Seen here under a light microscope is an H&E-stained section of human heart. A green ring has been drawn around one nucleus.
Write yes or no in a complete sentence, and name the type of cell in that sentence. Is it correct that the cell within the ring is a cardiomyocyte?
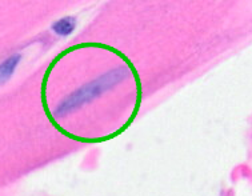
Yes, the cell within the ring is categorized as a cardiomyocyte in this section.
